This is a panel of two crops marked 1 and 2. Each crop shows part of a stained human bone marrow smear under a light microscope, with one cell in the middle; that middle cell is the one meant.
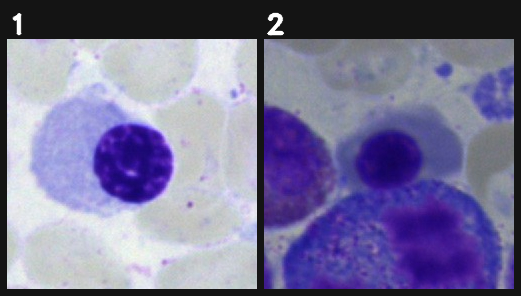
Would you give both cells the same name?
yes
